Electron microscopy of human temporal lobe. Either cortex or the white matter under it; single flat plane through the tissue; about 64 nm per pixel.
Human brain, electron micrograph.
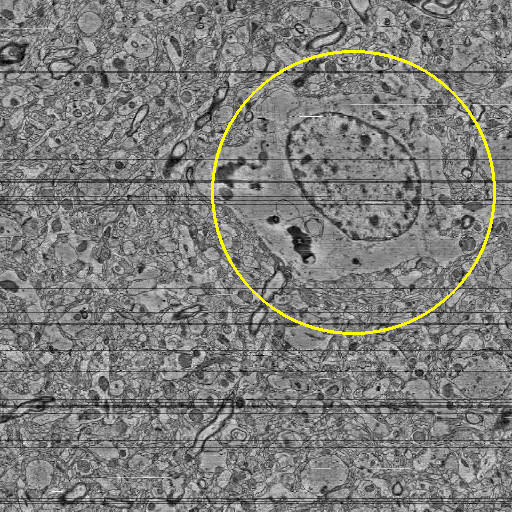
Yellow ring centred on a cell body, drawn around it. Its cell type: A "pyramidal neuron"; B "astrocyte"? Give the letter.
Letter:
B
